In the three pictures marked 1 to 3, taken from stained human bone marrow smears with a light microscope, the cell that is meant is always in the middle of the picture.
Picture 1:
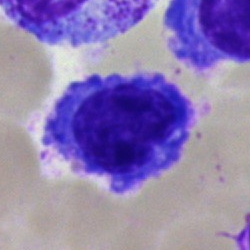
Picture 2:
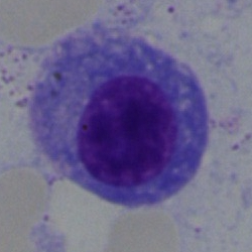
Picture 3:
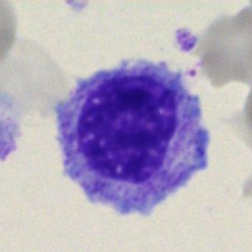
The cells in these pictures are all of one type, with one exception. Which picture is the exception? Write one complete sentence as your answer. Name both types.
Picture 3 differs, because its cell is a myelocyte and the rest are plasma cells.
